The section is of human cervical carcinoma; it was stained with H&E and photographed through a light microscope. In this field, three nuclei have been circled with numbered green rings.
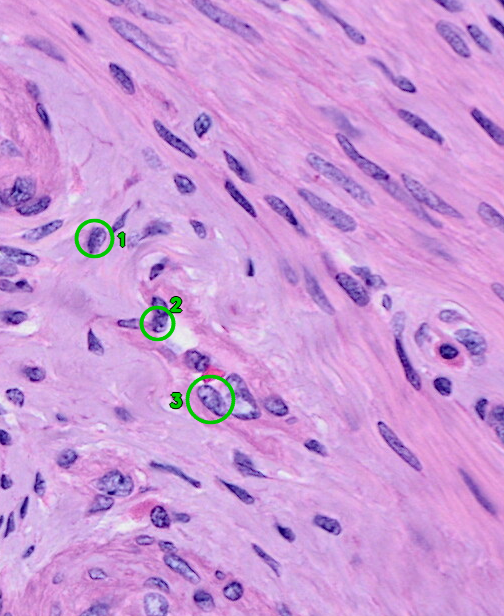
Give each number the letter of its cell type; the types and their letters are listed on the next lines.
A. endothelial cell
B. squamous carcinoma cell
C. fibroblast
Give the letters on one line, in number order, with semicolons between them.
C; A; A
